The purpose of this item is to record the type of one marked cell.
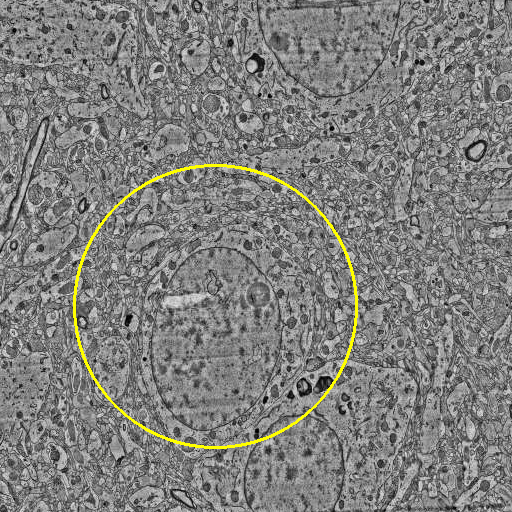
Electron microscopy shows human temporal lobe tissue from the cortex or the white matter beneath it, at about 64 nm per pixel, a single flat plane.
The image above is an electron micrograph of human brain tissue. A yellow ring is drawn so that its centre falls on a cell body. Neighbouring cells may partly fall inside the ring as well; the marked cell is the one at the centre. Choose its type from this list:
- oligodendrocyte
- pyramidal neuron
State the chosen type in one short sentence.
What the ring marks here is a pyramidal neuron.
